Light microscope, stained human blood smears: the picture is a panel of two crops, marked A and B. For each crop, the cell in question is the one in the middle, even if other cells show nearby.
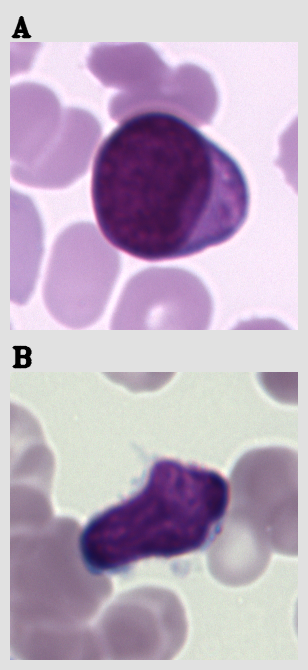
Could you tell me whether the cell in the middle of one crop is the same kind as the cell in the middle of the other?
no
